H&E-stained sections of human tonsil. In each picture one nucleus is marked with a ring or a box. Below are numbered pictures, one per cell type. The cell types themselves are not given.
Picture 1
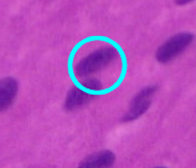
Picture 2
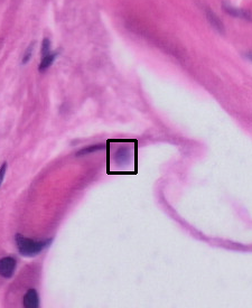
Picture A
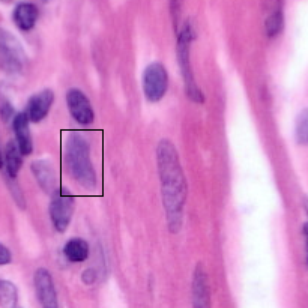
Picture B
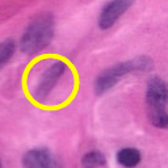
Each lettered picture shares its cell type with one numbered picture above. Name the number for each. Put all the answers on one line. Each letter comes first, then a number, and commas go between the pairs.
A 2, B 2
